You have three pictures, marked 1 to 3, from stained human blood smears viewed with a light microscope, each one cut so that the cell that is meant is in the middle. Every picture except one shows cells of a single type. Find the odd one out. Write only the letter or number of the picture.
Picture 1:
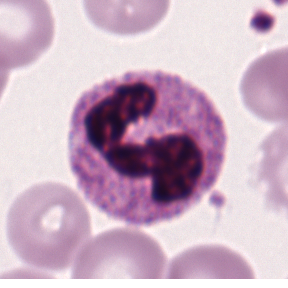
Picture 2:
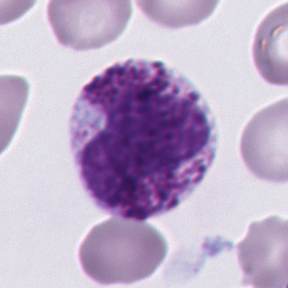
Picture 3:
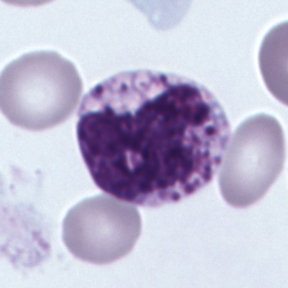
1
